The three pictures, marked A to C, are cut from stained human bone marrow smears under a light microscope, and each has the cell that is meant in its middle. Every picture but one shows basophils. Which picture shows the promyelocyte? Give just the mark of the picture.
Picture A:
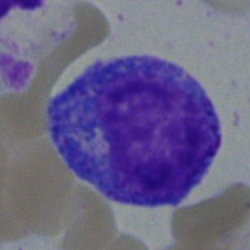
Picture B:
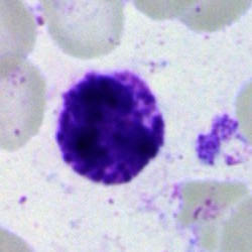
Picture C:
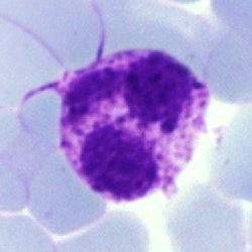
A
